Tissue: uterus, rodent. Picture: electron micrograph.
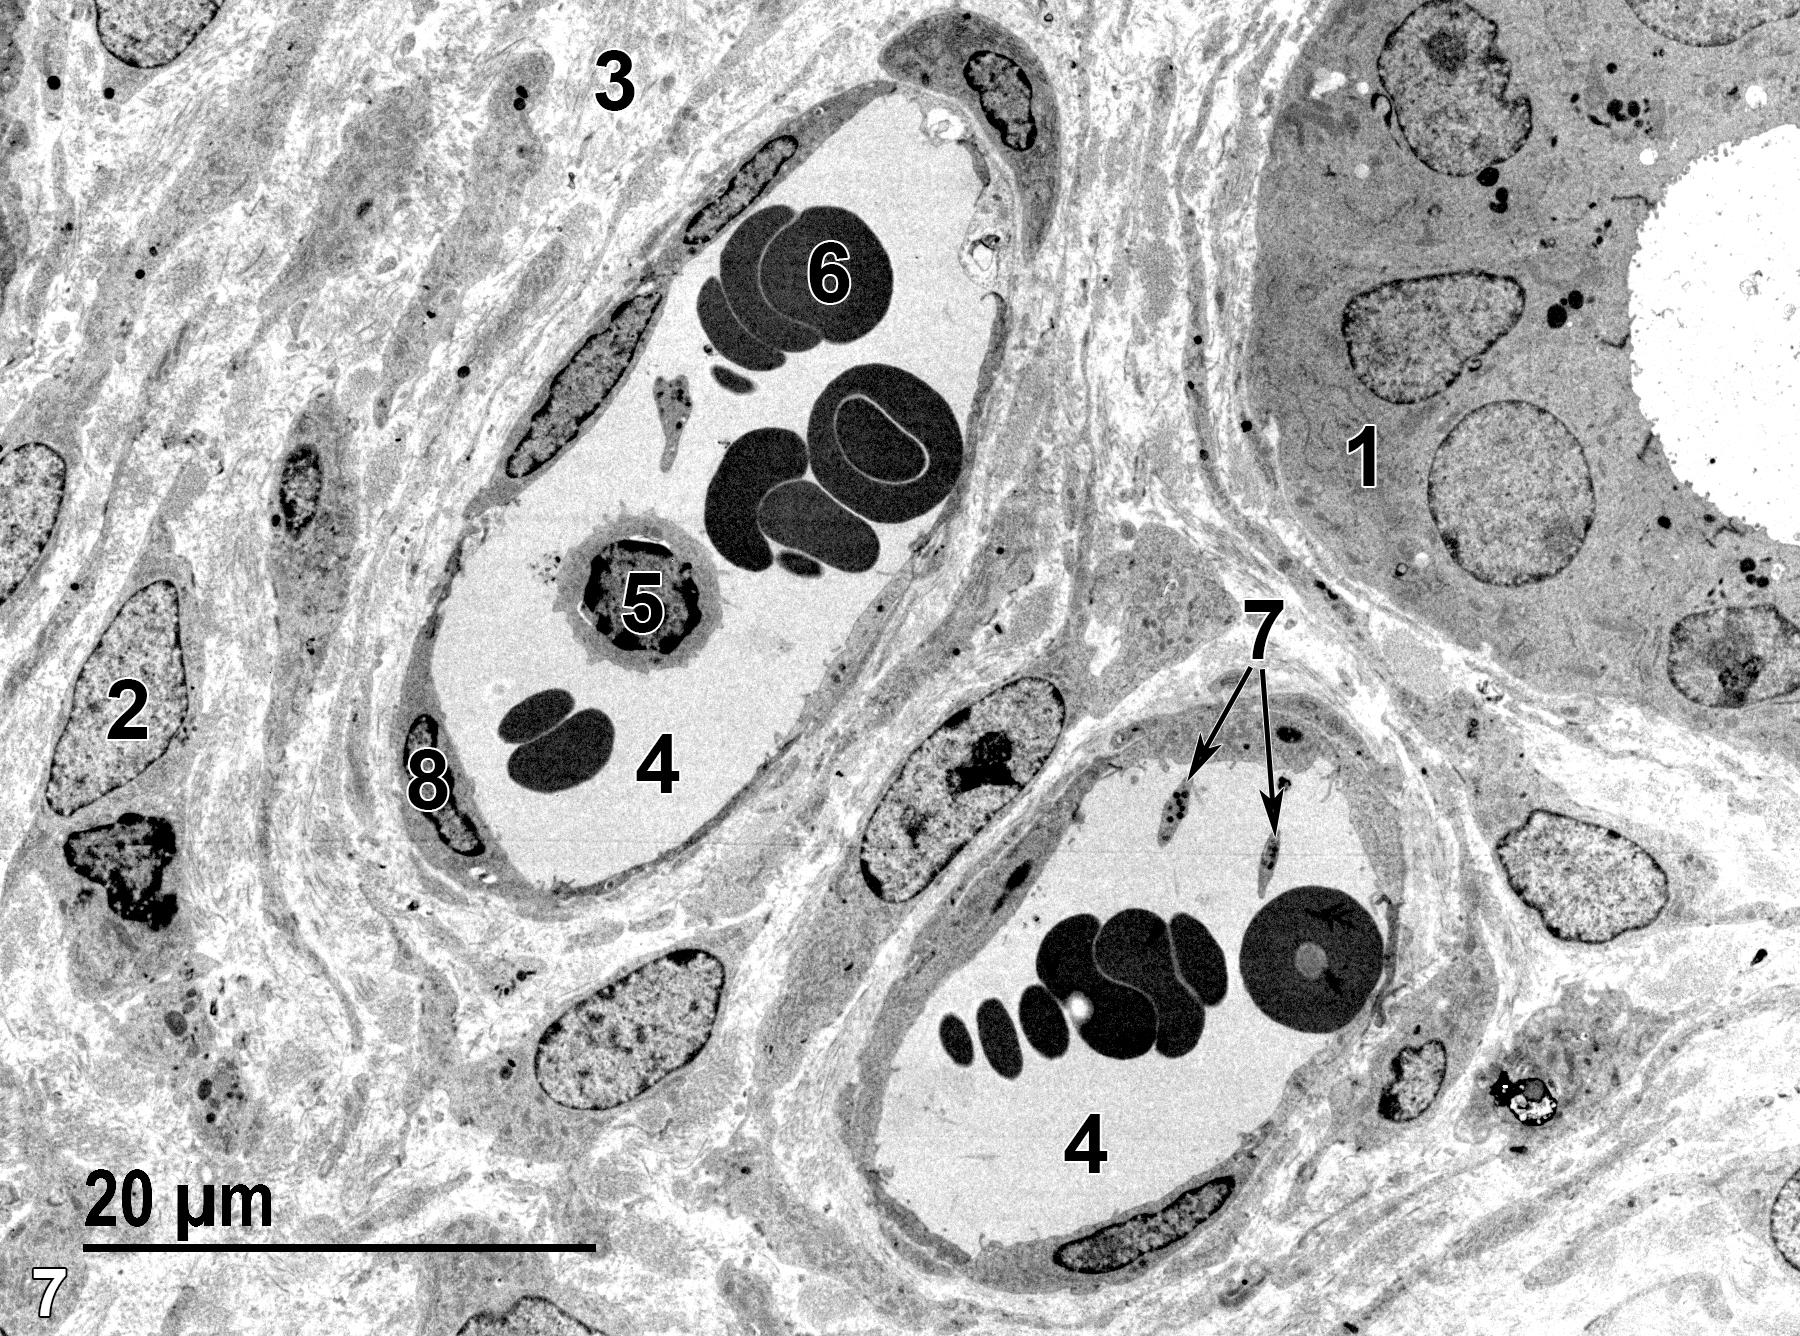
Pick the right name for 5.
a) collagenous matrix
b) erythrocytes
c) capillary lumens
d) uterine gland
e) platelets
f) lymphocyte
f) lymphocyte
